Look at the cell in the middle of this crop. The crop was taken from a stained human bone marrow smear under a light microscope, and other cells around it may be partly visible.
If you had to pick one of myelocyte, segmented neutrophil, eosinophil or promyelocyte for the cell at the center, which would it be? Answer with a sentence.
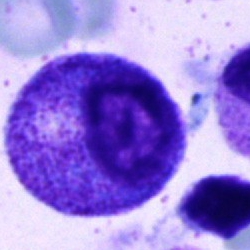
The centrally located cell in the crop is a myelocyte.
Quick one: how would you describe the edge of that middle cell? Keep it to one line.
No projections interrupt the outline; it is smooth all the way round.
